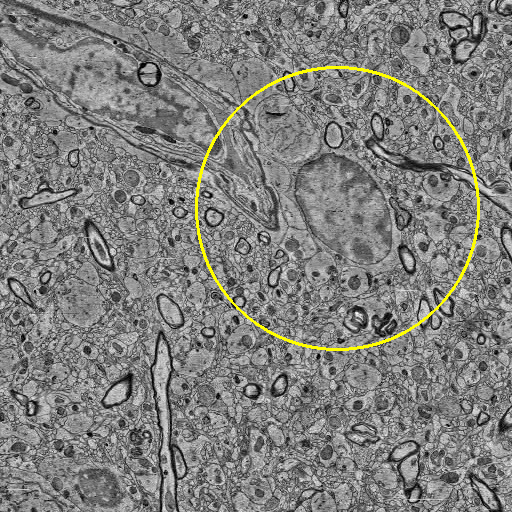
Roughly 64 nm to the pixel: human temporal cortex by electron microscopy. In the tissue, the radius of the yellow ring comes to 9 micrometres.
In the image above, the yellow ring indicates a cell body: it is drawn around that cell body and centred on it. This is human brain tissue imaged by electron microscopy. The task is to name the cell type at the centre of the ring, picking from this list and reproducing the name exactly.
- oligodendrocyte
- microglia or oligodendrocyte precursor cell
oligodendrocyte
